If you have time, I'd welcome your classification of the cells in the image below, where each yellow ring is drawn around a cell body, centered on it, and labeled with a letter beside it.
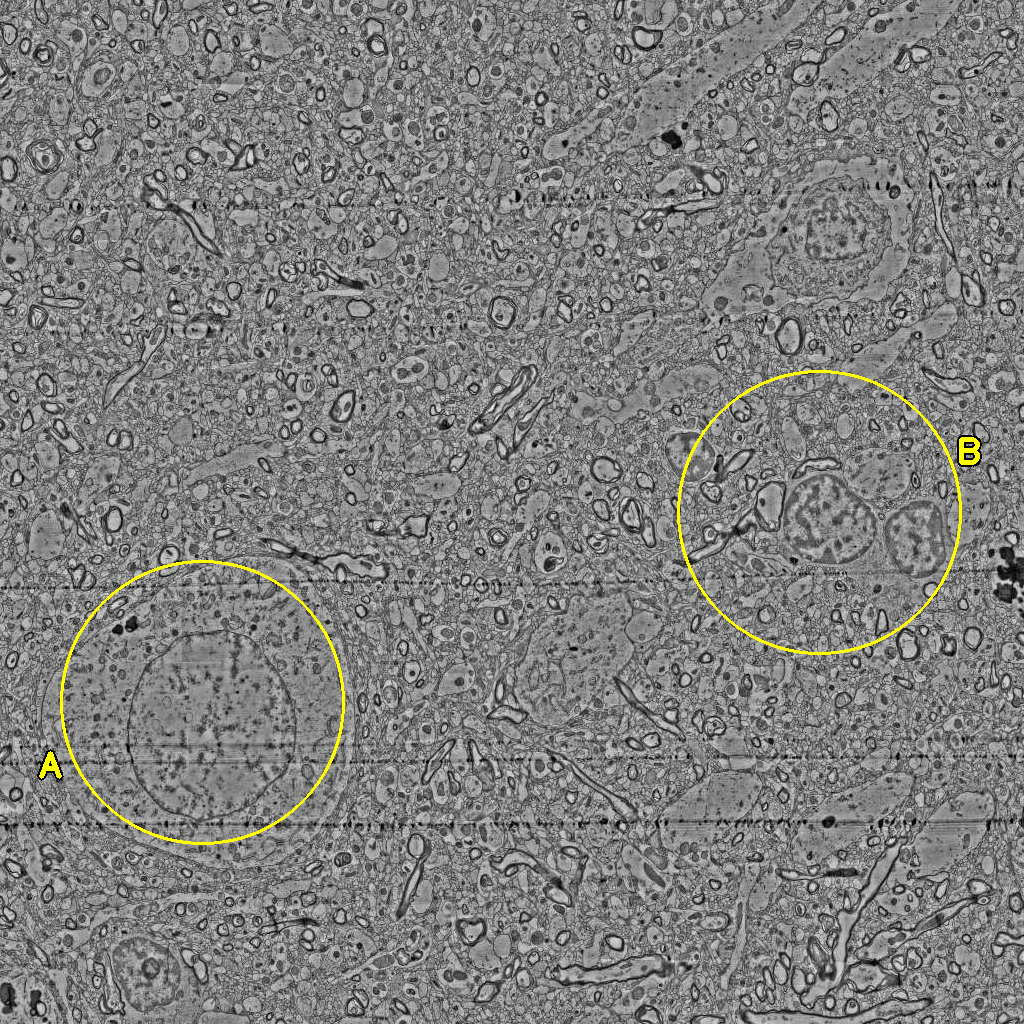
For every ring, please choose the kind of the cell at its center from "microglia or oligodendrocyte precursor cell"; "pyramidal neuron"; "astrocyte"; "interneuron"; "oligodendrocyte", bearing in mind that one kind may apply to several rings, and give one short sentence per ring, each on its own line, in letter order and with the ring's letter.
At the center of ring A is a pyramidal neuron.
At the center of ring B is an oligodendrocyte.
